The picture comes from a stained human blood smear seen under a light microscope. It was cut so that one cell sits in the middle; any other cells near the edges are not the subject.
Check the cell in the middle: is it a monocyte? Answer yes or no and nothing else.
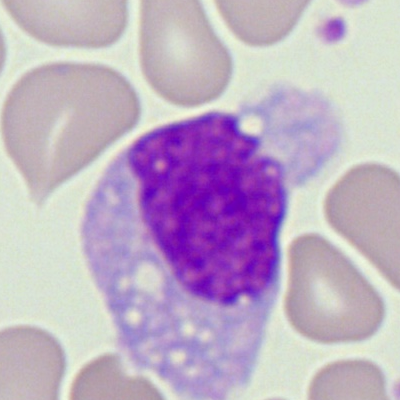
yes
